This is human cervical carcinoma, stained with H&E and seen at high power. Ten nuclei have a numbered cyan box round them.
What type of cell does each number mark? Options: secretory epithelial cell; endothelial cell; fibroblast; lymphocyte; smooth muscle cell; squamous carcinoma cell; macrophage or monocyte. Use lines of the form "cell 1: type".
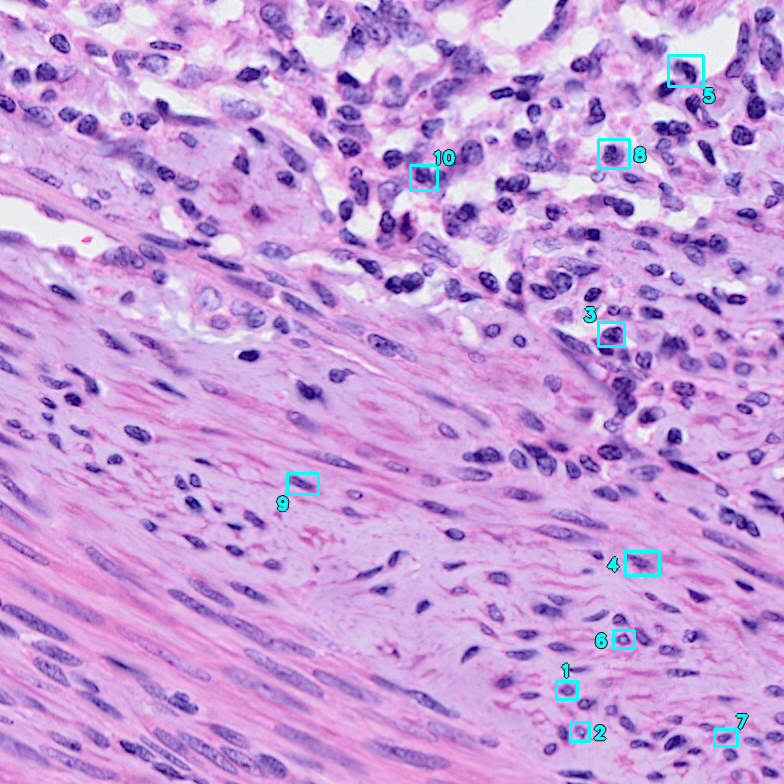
cell 1: smooth muscle cell
cell 2: smooth muscle cell
cell 3: lymphocyte
cell 4: smooth muscle cell
cell 5: lymphocyte
cell 6: smooth muscle cell
cell 7: smooth muscle cell
cell 8: lymphocyte
cell 9: smooth muscle cell
cell 10: lymphocyte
